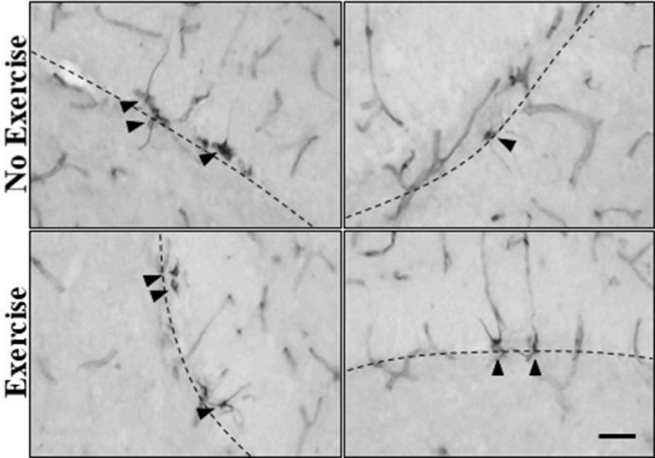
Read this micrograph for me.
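These four images show sections of the dentate gyrus with a dark grey chromogen on a pale background, where a dashed line follows the curved granule cell layer. Dark, small cell bodies sit on or just beside this line, marked by arrowheads, and some send fine processes out across the neighbouring tissue. Many long, thin, branching dark profiles also wander through the surrounding tissue, looking like stained vessels rather than cells. The stained cell bodies lie at the border of the granule cell layer, where precursor cells of the dentate gyrus are found. Their number along the line varies between the images, with one image showing only a single marked cell.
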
